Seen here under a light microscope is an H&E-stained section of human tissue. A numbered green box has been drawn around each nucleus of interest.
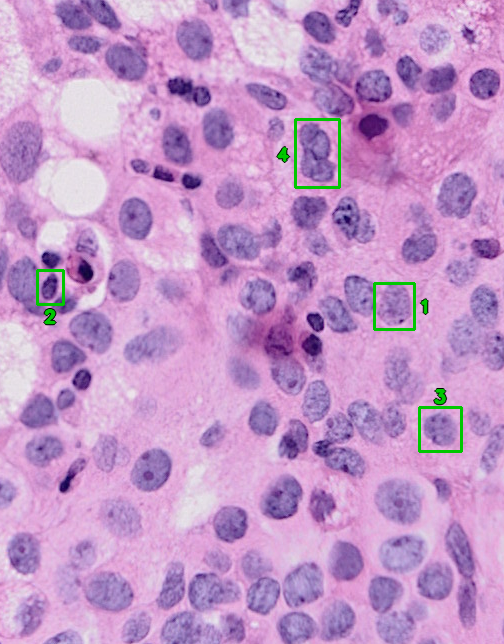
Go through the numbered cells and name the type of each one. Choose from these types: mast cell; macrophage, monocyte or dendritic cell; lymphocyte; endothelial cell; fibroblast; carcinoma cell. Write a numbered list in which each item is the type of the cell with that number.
1. carcinoma cell
2. lymphocyte
3. carcinoma cell
4. carcinoma cell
